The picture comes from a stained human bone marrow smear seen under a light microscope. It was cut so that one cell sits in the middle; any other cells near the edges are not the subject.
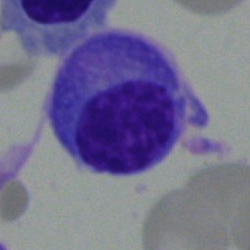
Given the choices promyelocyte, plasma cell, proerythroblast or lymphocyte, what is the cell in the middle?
plasma cell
